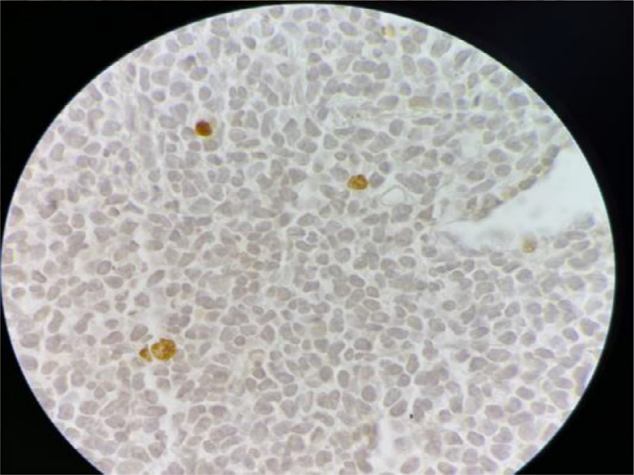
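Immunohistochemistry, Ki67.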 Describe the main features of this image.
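A dense population of small lymphoid cells is shown, with round to oval nuclei that stain pale blue-grey. Only a very few scattered nuclei are stained brown, so the great majority of the cells are unstained.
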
